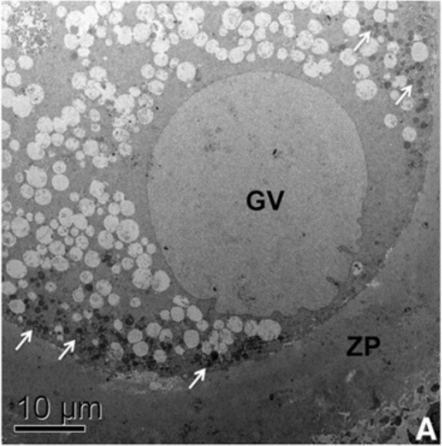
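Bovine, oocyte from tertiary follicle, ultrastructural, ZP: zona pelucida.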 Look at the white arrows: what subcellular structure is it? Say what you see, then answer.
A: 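Small round electron-dense organelles gather in a band near the cell margin. The arrows point into this dense band beneath the zona. On this evidence: mitochondria.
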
